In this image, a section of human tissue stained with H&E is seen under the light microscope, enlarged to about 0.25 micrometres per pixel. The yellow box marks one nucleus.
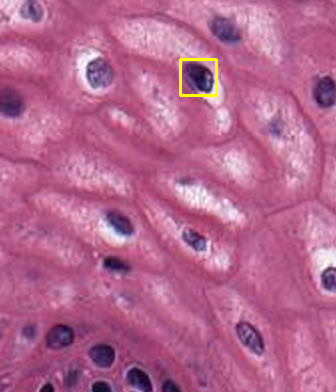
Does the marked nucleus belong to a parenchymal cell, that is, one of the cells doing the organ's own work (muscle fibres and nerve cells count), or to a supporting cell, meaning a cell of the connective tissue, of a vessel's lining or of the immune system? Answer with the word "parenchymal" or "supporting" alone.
parenchymal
